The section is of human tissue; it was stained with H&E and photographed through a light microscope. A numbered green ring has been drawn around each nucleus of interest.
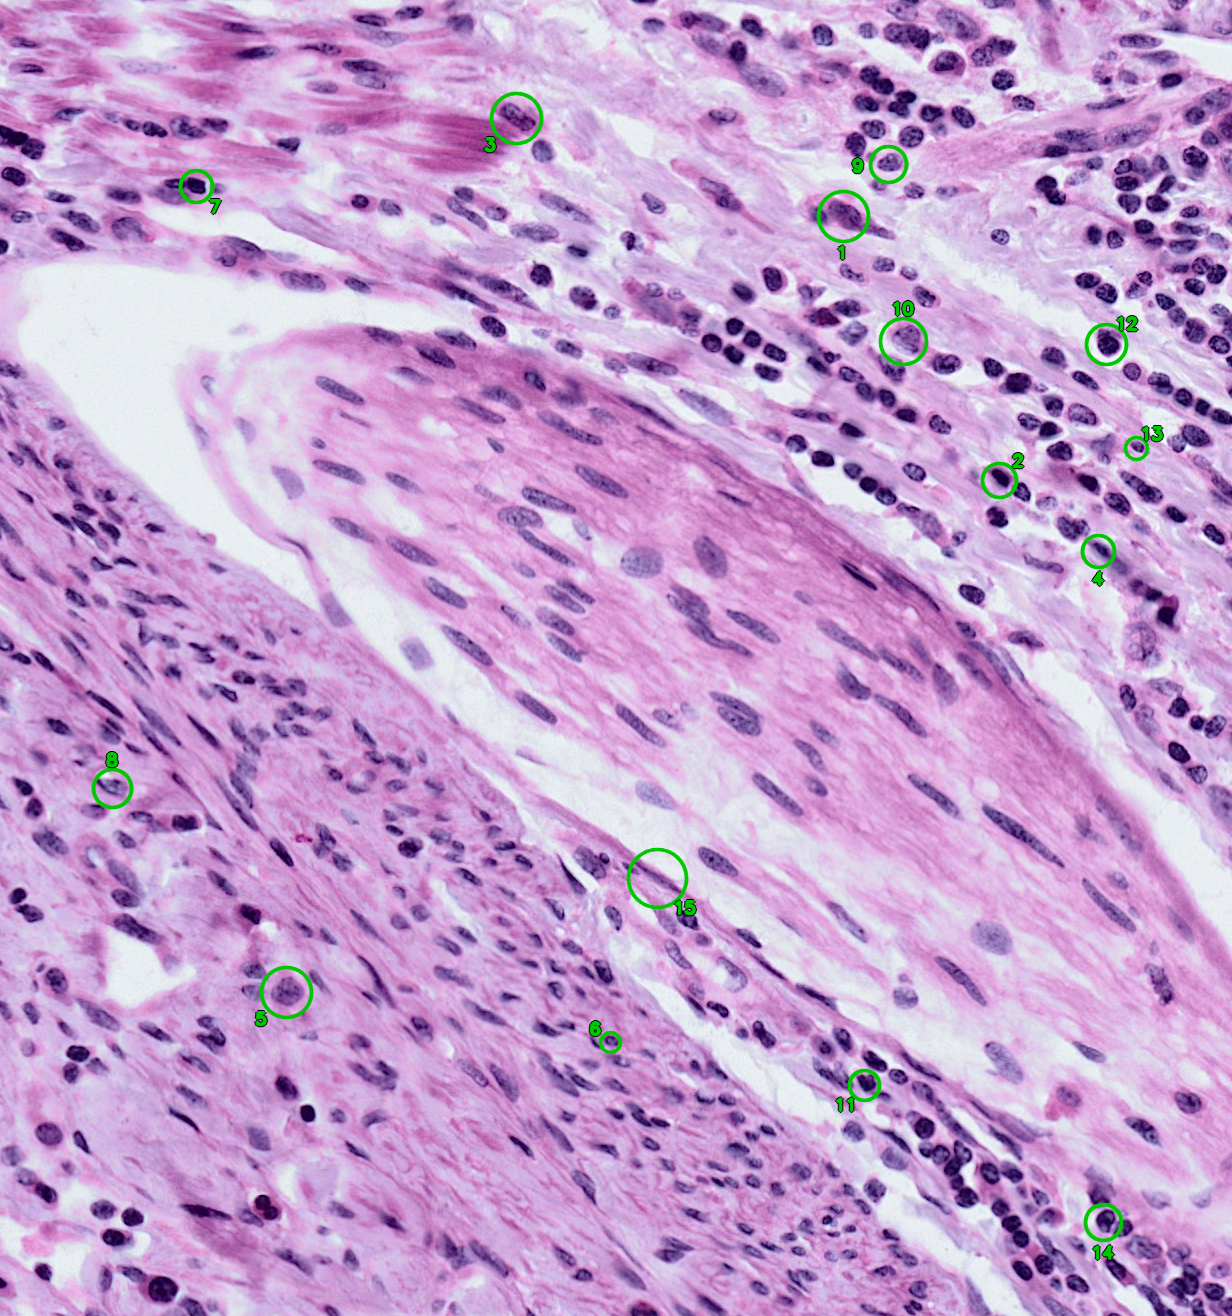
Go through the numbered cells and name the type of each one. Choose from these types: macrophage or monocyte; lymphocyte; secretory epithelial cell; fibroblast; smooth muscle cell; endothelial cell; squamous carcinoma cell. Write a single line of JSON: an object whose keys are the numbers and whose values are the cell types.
{"1": "macrophage or monocyte", "2": "lymphocyte", "3": "macrophage or monocyte", "4": "lymphocyte", "5": "macrophage or monocyte", "6": "smooth muscle cell", "7": "lymphocyte", "8": "endothelial cell", "9": "lymphocyte", "10": "macrophage or monocyte", "11": "lymphocyte", "12": "lymphocyte", "13": "lymphocyte", "14": "lymphocyte", "15": "endothelial cell"}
